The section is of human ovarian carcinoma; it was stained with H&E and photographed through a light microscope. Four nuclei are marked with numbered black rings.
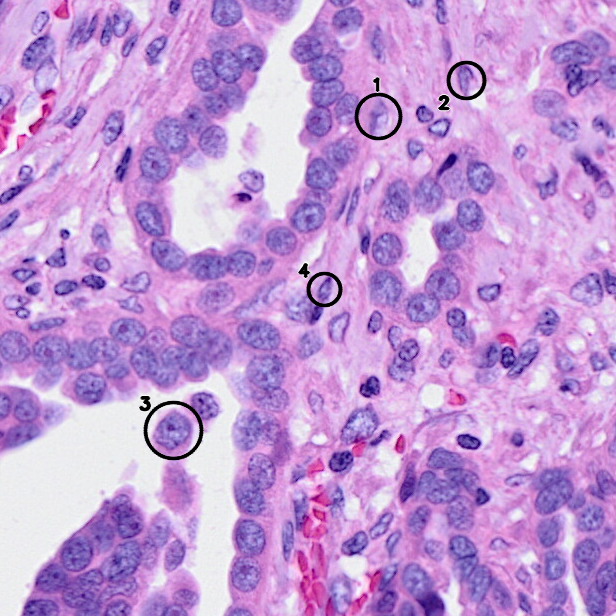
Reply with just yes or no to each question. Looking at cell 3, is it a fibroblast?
no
